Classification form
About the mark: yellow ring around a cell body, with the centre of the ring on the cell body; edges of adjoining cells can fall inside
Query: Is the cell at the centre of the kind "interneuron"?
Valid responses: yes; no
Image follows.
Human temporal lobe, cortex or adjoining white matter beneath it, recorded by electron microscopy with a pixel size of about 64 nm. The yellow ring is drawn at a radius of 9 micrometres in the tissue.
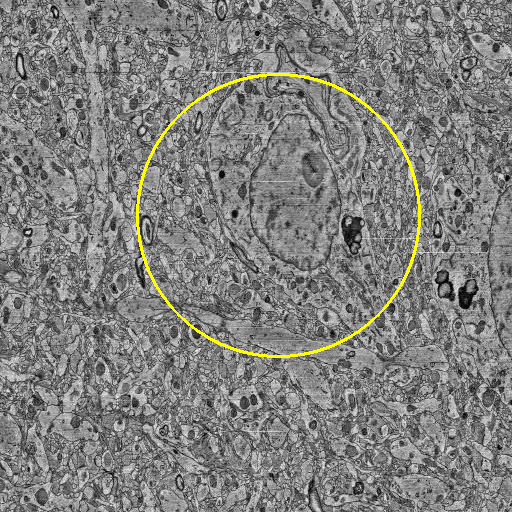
no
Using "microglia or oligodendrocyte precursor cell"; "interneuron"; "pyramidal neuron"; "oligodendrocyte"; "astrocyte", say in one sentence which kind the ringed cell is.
Instead, the ringed cell here is a pyramidal neuron.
